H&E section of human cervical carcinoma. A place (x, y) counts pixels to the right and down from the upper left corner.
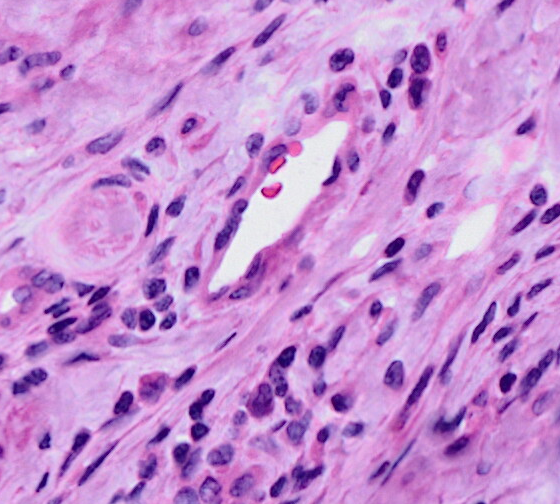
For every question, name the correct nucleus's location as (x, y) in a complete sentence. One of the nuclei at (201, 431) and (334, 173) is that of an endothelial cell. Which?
The nucleus situated at (334, 173) is the one belonging to an endothelial cell.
